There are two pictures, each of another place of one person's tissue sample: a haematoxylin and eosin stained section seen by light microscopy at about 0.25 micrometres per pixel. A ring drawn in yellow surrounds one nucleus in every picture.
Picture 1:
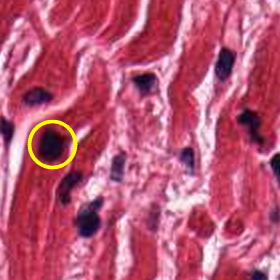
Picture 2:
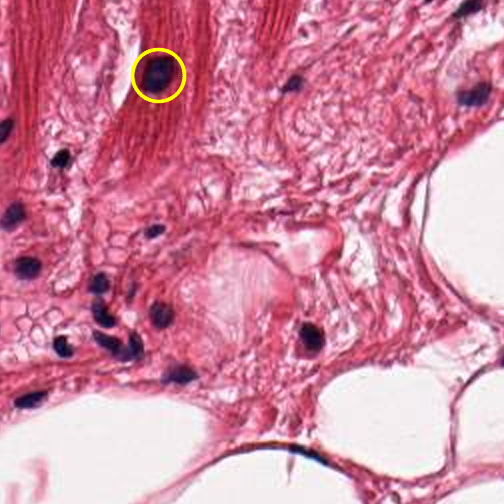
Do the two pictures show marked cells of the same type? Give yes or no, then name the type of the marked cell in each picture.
Yes, both are cardiomyocytes.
